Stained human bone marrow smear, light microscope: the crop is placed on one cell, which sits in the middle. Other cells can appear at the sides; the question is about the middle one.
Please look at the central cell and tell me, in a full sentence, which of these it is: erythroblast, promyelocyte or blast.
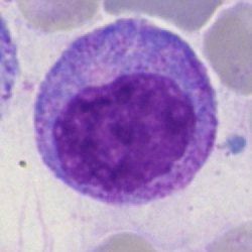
At the middle of the frame sits a promyelocyte.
